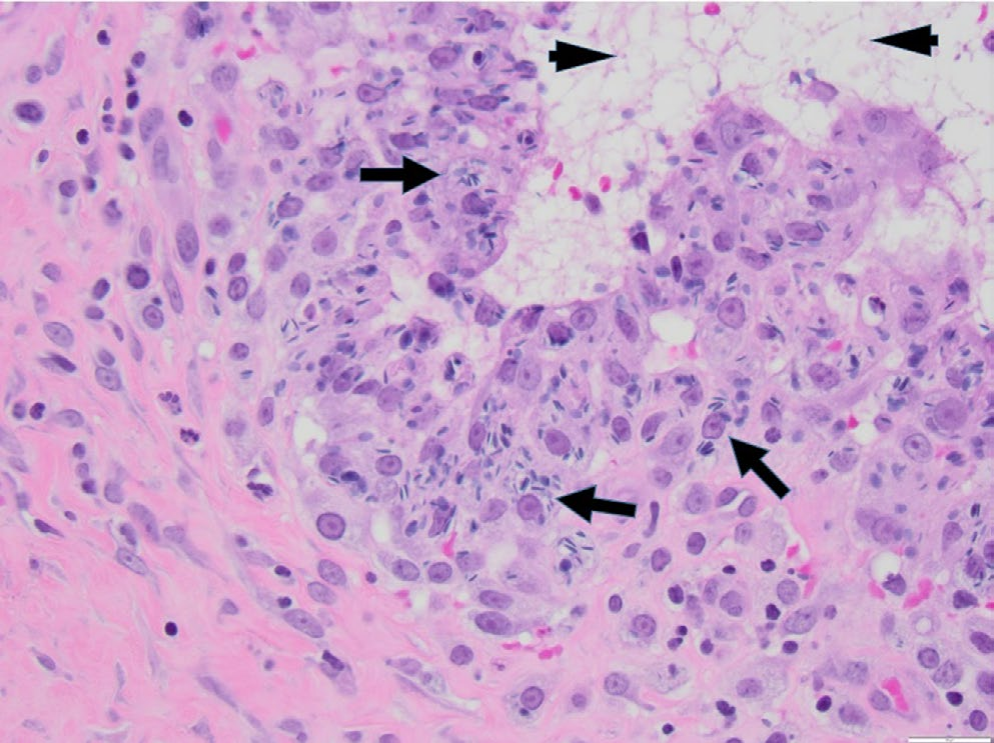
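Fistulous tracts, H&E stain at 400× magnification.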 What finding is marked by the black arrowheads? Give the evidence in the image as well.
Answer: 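Pale pink, lacy, flocculent material fills the open space at the top right. The material is largely acellular, with few scattered red blood cells. The answer: proteinaceous to fibrinous fluid.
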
